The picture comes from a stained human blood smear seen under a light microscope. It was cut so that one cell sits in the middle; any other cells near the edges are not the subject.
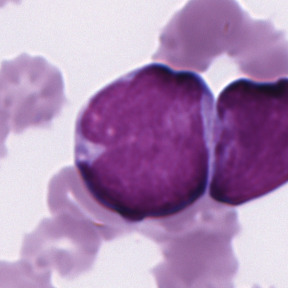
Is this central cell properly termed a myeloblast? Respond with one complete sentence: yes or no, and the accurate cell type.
Yes, the cell at the crop's center is a myeloblast.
